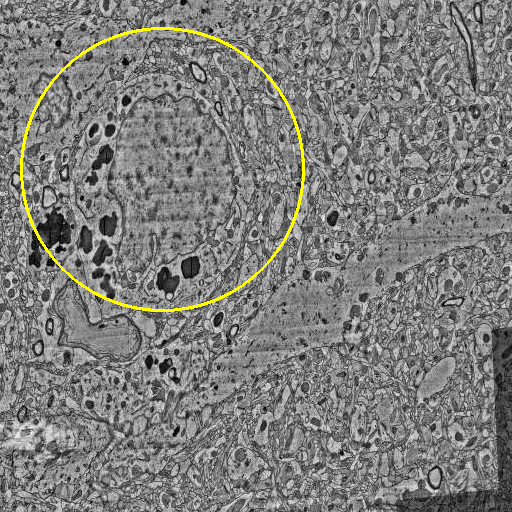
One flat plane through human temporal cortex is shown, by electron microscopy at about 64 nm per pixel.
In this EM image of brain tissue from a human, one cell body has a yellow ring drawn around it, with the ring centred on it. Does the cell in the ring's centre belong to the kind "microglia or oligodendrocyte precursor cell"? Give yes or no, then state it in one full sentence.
No, in the picture, the cell centred in the yellow ring belongs to another kind.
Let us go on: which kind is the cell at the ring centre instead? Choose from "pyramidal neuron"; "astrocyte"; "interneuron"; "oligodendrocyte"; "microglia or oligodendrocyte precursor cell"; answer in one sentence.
In this picture, the ring is centred on an interneuron.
